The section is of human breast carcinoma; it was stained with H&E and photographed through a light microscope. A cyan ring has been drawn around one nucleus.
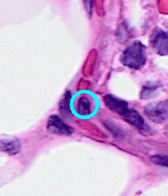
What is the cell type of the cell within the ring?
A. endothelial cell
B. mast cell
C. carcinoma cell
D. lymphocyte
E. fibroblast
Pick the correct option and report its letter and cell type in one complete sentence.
Option A is the one to take: the cell within the ring is an endothelial cell.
